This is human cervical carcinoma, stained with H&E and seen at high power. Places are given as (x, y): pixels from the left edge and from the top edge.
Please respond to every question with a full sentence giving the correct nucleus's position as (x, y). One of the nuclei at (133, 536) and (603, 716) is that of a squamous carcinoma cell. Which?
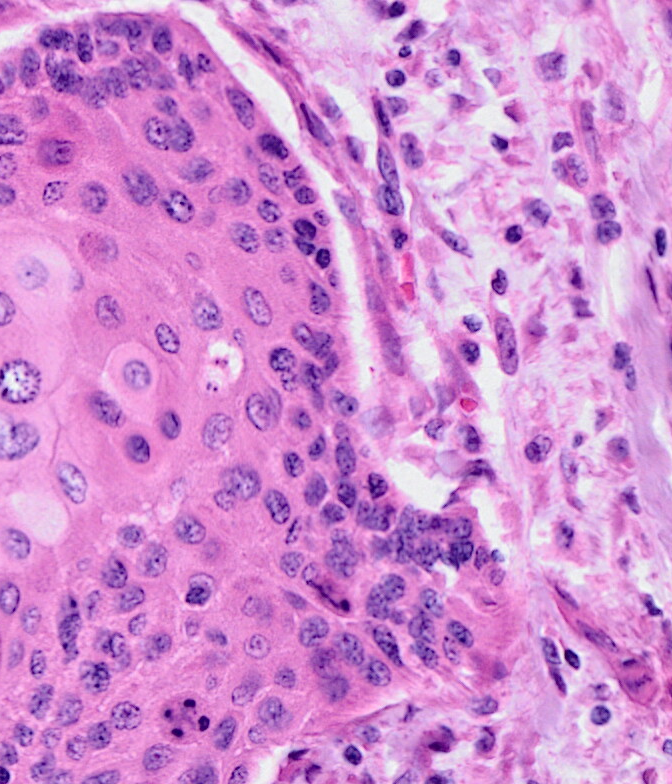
The pair contains one nucleus of a squamous carcinoma cell, namely the one at (133, 536).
